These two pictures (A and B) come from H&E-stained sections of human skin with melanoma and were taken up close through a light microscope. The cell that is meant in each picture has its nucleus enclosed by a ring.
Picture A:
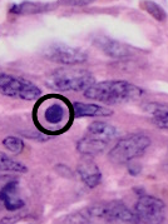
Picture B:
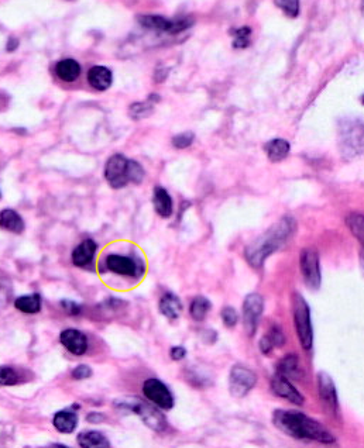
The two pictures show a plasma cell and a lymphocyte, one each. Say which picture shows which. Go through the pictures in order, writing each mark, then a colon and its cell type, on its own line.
A: lymphocyte
B: plasma cell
